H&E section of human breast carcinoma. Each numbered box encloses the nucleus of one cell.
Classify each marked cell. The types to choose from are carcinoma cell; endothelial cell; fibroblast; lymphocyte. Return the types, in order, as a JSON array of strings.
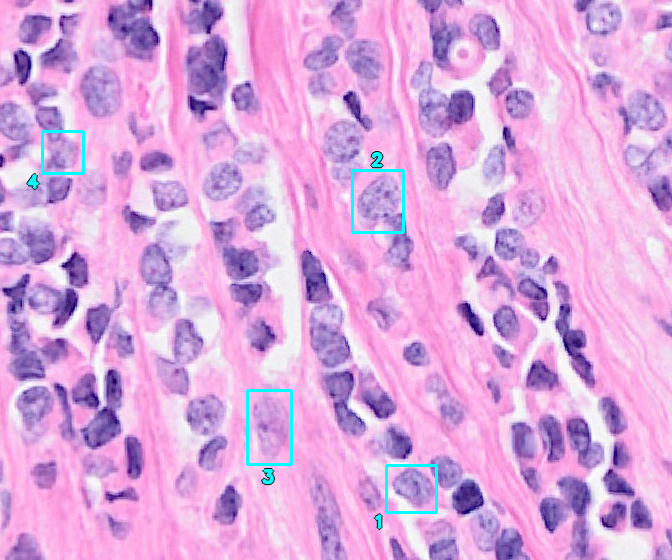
["carcinoma cell", "carcinoma cell", "fibroblast", "carcinoma cell"]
